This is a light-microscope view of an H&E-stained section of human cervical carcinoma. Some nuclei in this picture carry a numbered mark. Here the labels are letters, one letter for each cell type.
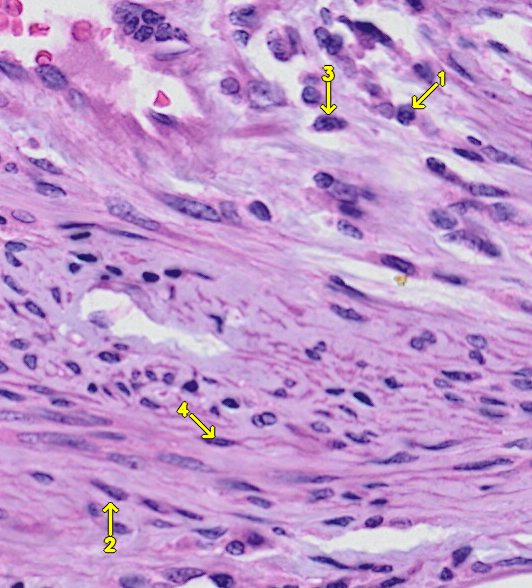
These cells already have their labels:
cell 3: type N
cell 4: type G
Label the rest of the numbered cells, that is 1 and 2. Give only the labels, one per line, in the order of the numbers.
type N
type G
